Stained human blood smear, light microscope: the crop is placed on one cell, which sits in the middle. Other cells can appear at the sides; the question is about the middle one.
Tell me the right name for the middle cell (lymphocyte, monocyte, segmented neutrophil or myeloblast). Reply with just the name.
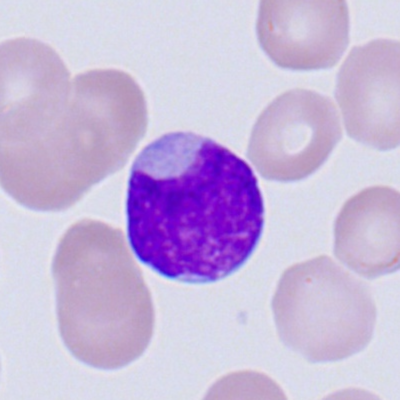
myeloblast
